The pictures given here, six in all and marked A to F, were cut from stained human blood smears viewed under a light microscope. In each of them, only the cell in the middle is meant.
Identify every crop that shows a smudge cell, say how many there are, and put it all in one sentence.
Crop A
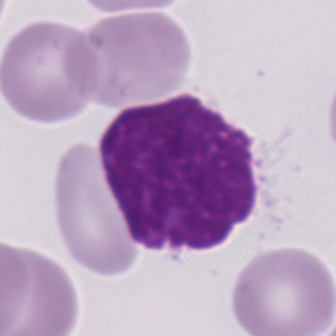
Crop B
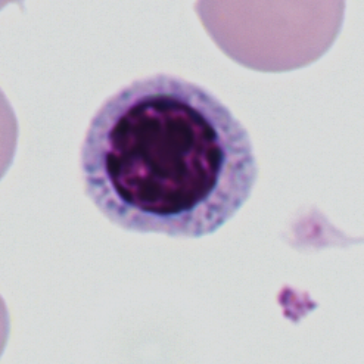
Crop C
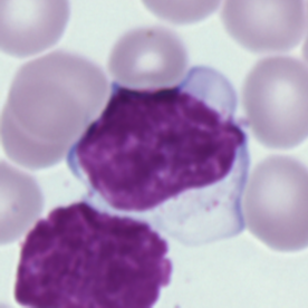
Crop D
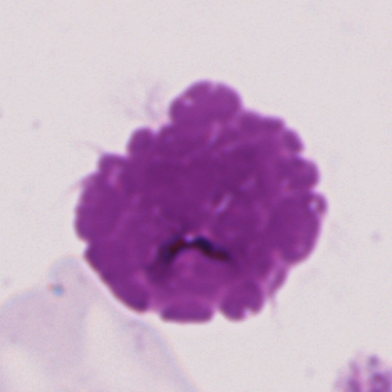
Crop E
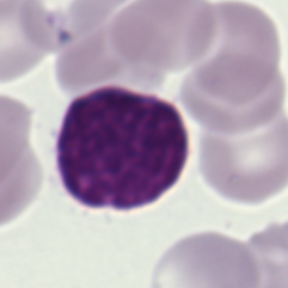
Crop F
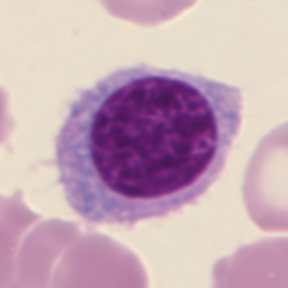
To sum up, three crops show smudge cells: A, D and E.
